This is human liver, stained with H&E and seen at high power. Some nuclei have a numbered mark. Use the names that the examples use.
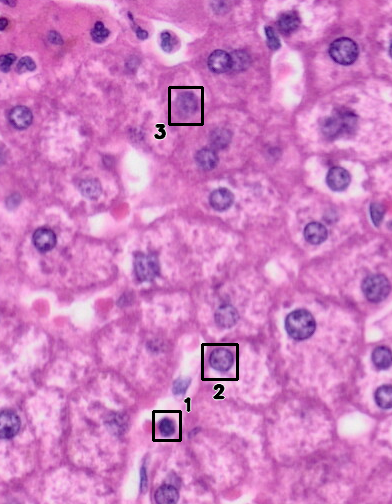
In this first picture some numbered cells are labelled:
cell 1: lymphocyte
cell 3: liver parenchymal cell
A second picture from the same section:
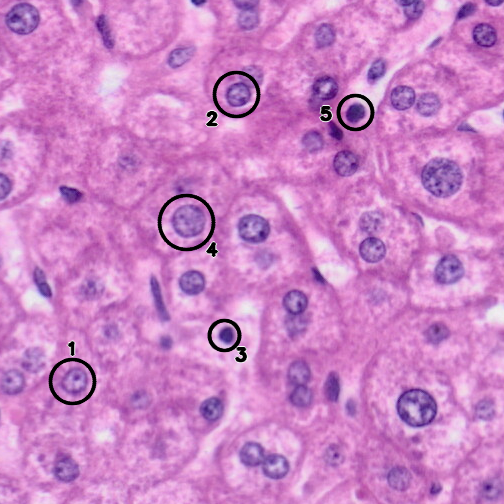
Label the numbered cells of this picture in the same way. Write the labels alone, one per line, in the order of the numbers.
liver parenchymal cell
liver parenchymal cell
lymphocyte
liver parenchymal cell
lymphocyte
